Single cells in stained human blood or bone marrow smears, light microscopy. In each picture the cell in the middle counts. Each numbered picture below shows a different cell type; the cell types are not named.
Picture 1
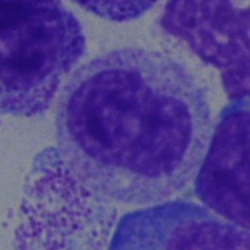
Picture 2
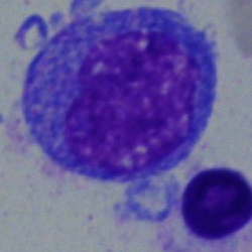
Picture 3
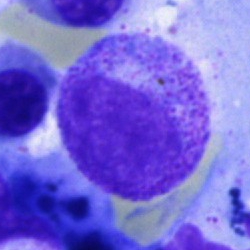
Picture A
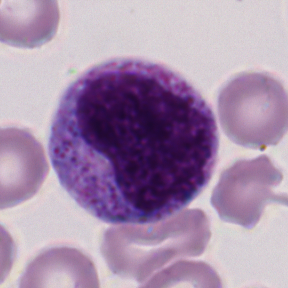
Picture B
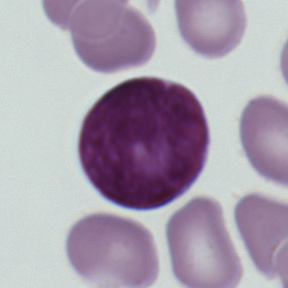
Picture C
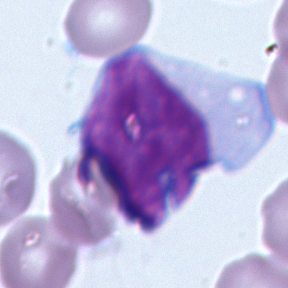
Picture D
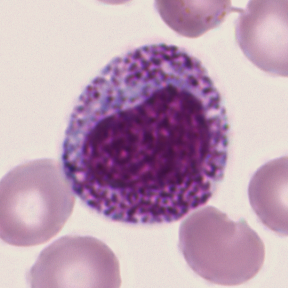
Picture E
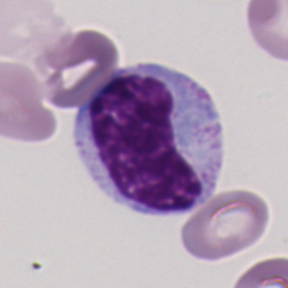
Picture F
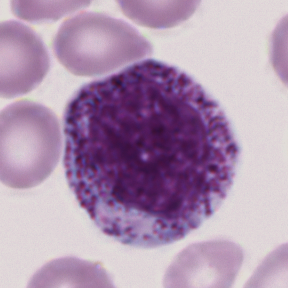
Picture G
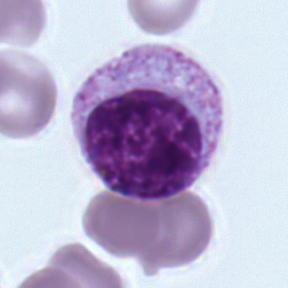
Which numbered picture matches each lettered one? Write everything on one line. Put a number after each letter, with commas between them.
A 3, B 2, C 2, D 3, E 1, F 3, G 3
